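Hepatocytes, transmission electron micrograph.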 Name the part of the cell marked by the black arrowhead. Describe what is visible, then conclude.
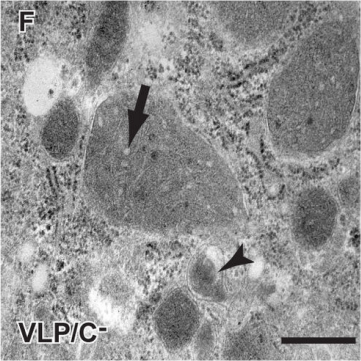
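The arrowhead points to a small membrane-bound body with layered content. It lies apart from the larger mitochondria.
Conclusion: autophagosome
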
